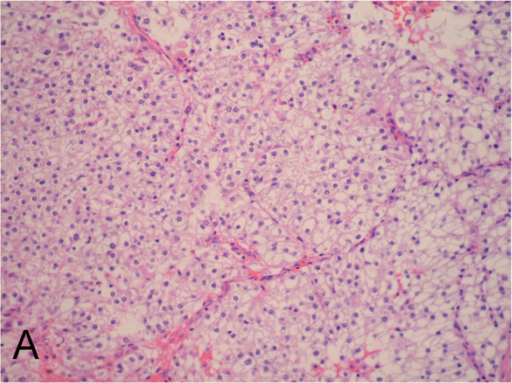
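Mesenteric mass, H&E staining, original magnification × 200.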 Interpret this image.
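Tumor tissue made of sheets and nests of epithelioid tumor cells with clear to faintly pink cytoplasm and distinct cell membranes. Nuclei are small, round and fairly uniform, each sitting within a pale cell. Thin, delicate pink vascular septa containing red blood cells branch through the tissue and separate the cells into nests, with the tumor cells arranged around them. No gland lumens or stroma-rich areas are apparent.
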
